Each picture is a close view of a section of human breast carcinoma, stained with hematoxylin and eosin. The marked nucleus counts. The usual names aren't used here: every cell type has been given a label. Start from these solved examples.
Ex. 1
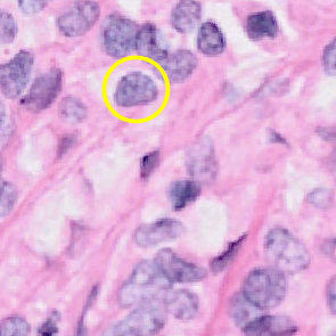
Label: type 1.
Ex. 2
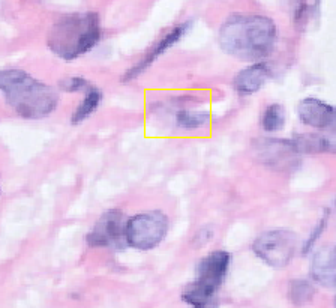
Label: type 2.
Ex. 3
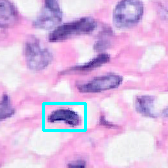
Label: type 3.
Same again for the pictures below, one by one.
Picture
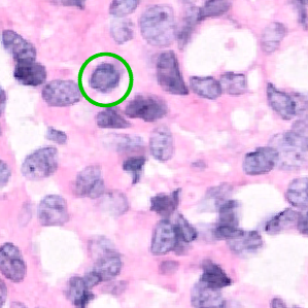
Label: type 1.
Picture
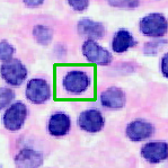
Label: type 3.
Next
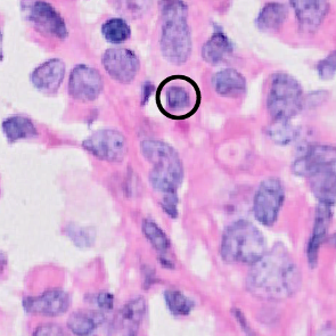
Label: type 2.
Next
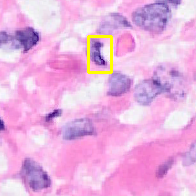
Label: type 2.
